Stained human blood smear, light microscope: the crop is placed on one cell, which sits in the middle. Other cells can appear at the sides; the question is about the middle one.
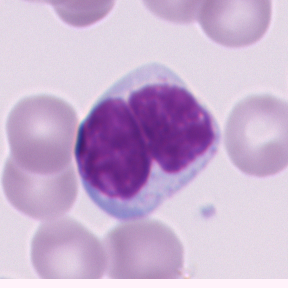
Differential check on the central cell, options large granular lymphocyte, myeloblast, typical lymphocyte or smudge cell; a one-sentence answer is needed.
The cell that lies at the centre of the crop is a large granular lymphocyte.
